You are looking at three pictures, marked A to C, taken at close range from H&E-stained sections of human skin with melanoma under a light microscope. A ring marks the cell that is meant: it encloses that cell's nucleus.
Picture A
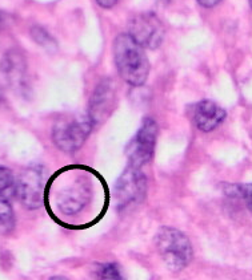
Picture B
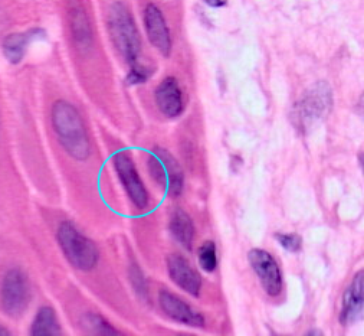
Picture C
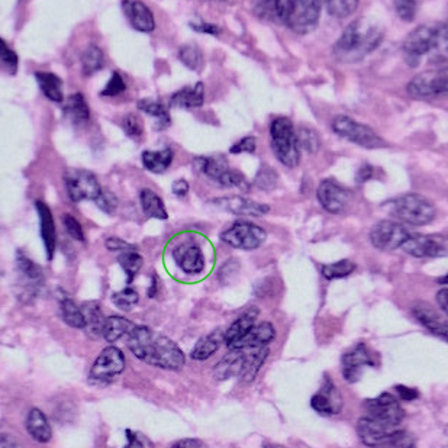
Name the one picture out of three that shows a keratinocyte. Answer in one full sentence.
Picture B is the one that shows the keratinocyte.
